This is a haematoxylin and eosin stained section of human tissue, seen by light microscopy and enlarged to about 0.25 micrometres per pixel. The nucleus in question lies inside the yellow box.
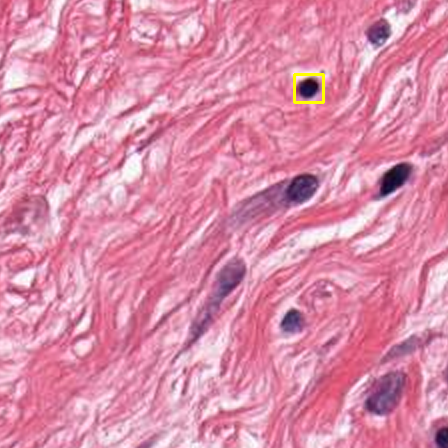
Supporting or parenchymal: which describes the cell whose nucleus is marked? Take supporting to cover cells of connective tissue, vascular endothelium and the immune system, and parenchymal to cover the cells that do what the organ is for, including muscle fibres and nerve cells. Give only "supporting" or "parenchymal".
supporting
